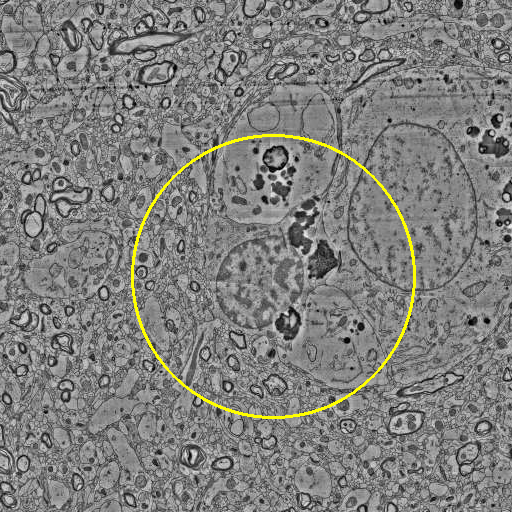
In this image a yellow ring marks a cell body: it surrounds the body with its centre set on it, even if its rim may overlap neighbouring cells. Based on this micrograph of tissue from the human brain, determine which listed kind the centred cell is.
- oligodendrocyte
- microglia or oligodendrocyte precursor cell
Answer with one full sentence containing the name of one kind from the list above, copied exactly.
It is an oligodendrocyte whose body the yellow ring encloses at its centre.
